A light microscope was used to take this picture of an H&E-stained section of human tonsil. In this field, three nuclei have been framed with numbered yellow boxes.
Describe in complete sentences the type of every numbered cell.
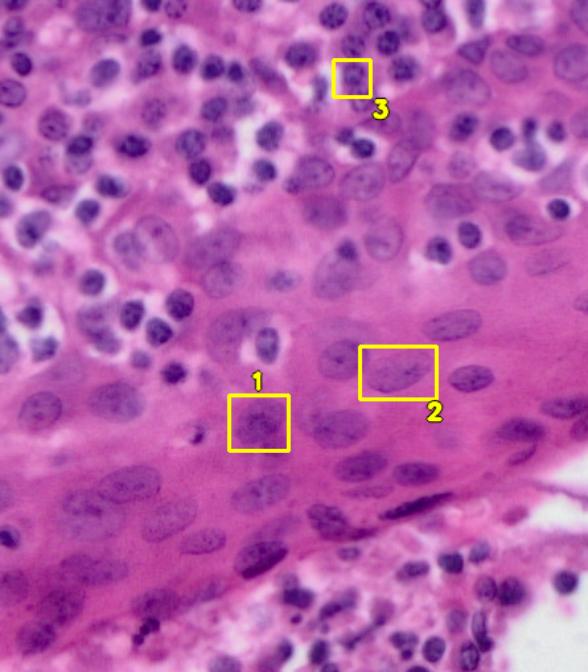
Cell 1 is a squamous epithelial cell, cell 2 is a squamous epithelial cell and cell 3 is a plasma cell.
